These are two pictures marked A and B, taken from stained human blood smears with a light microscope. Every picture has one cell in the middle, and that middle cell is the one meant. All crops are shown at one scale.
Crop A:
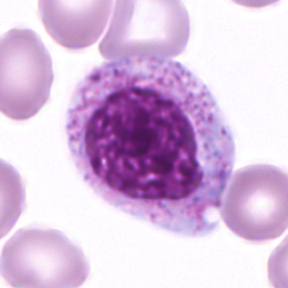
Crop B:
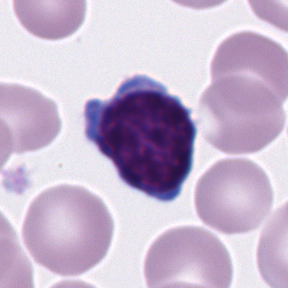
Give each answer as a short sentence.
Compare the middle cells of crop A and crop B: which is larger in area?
The cell in crop A is larger, with about 2 times the area of the one in crop B.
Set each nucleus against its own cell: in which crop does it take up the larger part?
Of the two, the nucleus in crop B makes up the greater part of its cell.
